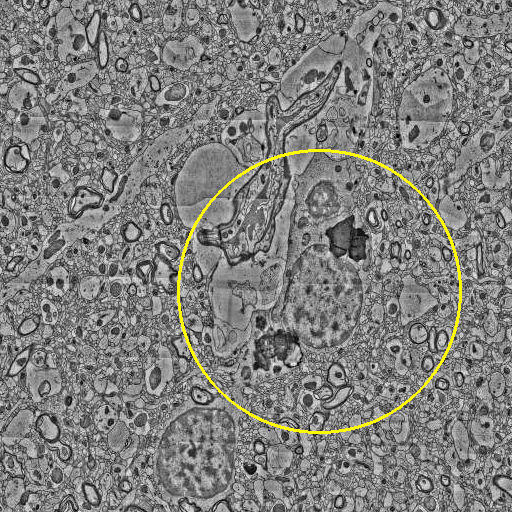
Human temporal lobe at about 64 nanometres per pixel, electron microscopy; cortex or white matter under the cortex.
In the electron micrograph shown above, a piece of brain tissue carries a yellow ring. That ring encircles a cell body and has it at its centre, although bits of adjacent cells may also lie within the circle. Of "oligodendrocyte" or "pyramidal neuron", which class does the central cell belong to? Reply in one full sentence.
The cell body at the centre of the yellow ring belongs to an oligodendrocyte.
